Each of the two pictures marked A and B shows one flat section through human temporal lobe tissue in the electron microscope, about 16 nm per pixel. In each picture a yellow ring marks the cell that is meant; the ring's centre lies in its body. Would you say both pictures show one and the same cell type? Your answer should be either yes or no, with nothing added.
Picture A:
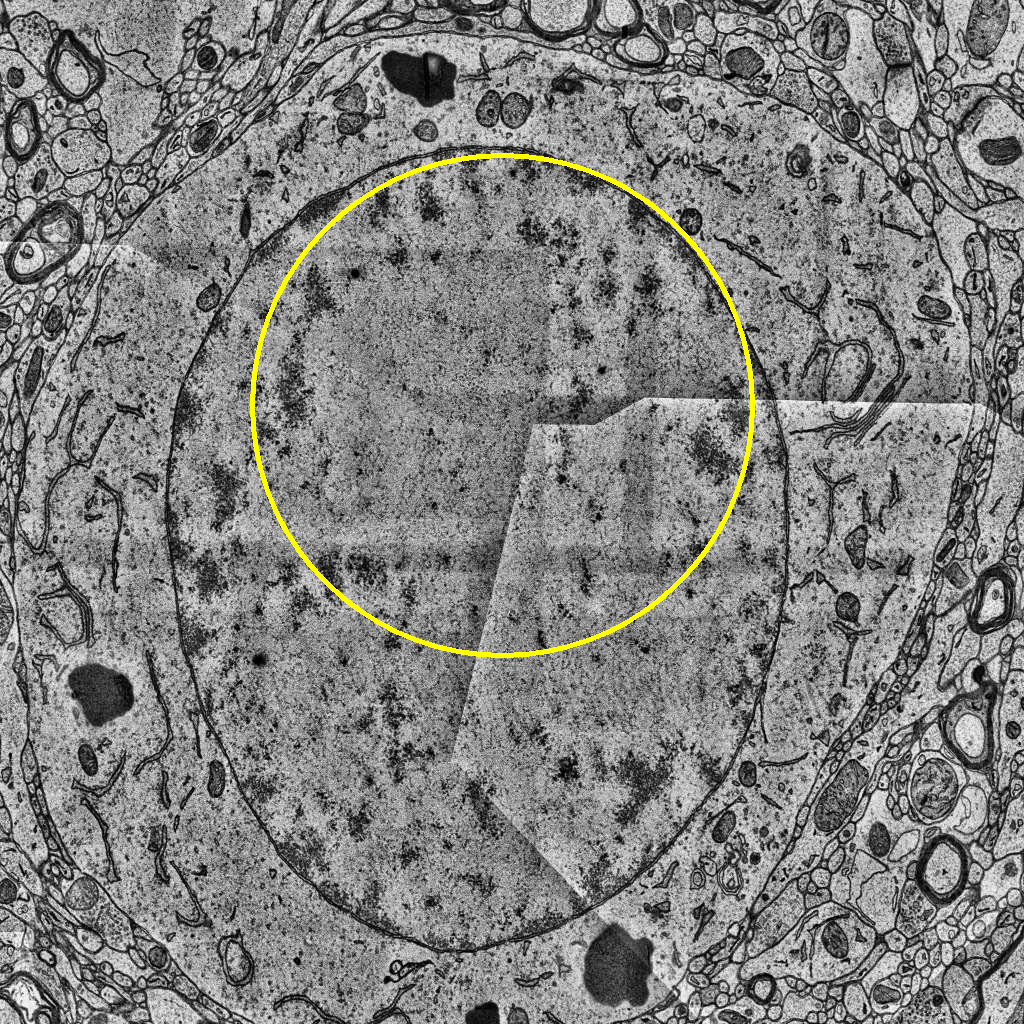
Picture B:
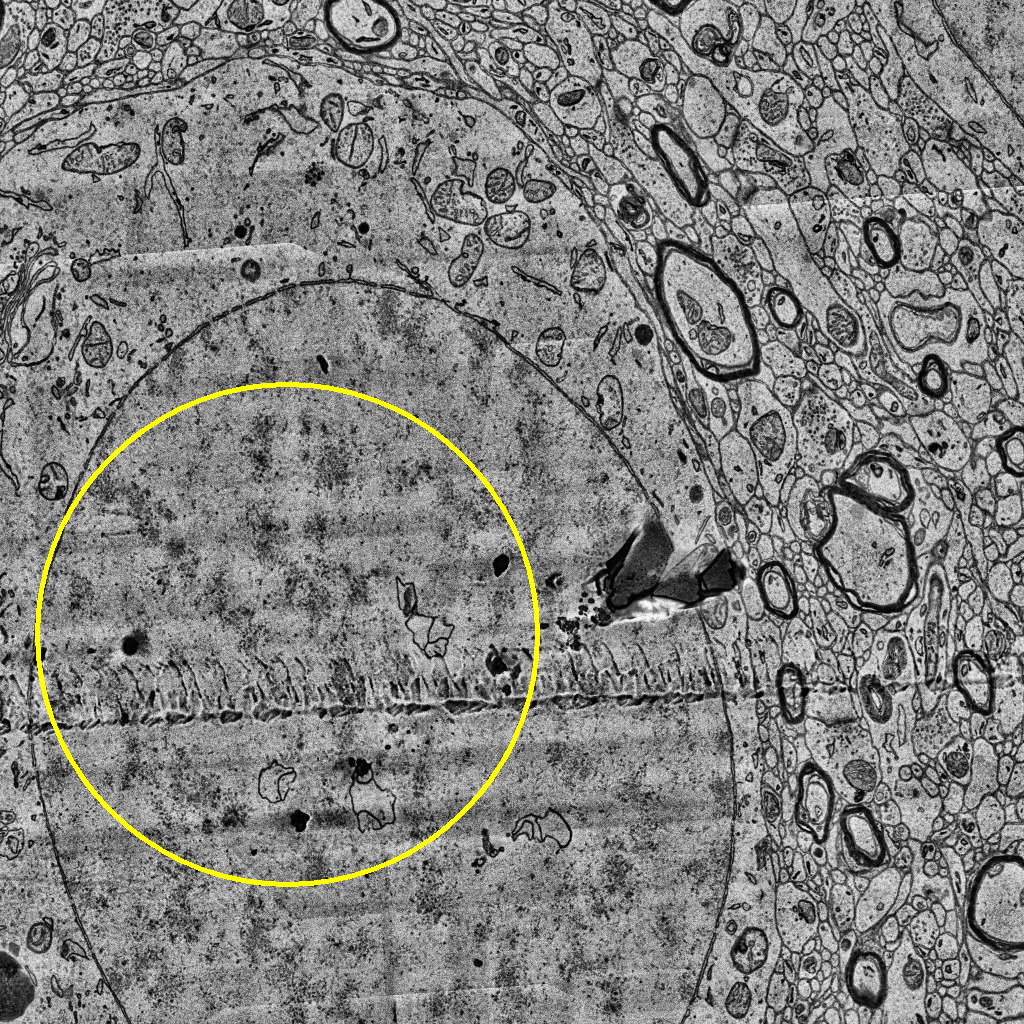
yes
